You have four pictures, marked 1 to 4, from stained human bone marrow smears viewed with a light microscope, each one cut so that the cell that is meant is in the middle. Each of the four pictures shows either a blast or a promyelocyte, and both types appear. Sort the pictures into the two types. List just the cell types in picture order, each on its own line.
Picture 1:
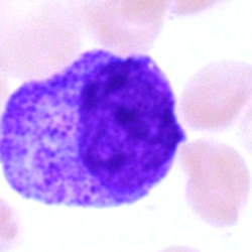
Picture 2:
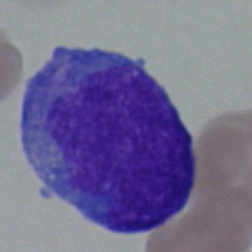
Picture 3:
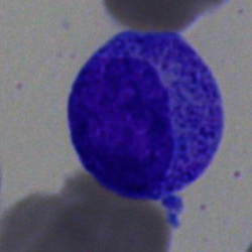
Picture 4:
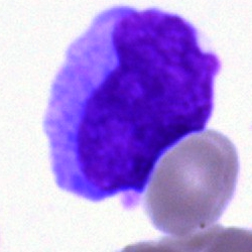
promyelocyte
blast
promyelocyte
blast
